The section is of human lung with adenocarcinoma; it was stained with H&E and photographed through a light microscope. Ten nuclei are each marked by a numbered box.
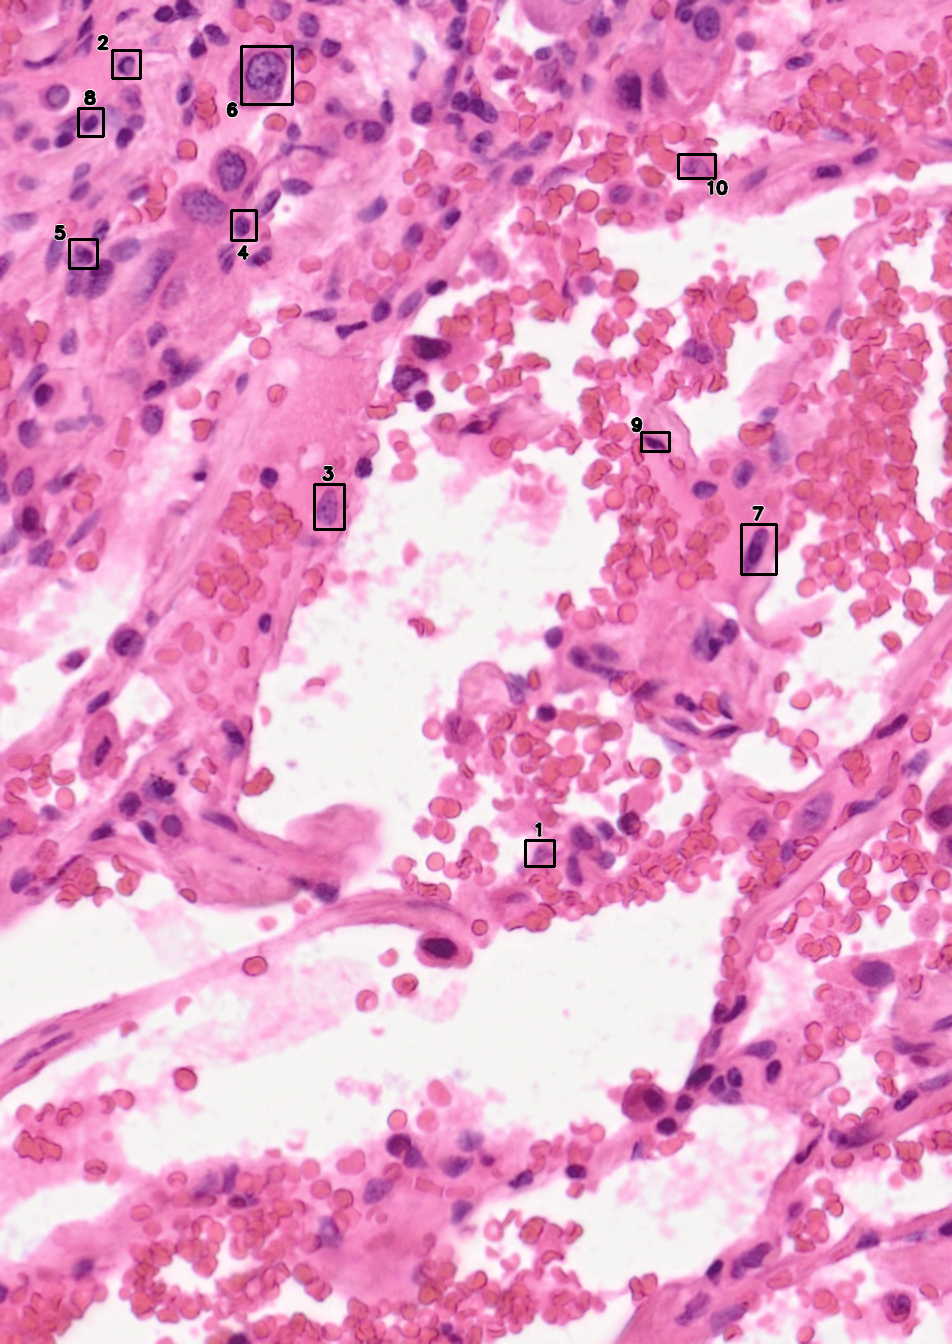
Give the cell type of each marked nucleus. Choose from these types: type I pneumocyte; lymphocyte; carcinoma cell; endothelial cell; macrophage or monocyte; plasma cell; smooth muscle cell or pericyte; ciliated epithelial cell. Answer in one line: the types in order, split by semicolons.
type I pneumocyte; lymphocyte; type I pneumocyte; lymphocyte; lymphocyte; carcinoma cell; type I pneumocyte; lymphocyte; endothelial cell; macrophage or monocyte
